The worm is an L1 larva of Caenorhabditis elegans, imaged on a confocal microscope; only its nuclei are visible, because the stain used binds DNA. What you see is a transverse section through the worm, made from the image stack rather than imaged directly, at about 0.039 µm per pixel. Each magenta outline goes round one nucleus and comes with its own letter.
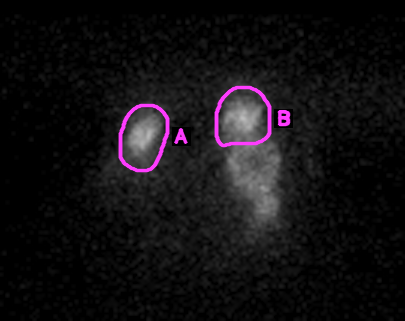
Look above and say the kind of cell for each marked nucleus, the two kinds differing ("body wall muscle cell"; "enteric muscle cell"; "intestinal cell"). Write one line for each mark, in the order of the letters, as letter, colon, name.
A: body wall muscle cell
B: enteric muscle cell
